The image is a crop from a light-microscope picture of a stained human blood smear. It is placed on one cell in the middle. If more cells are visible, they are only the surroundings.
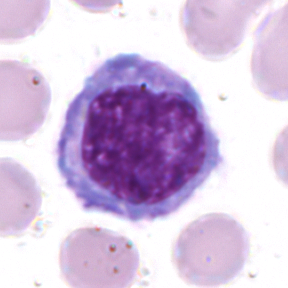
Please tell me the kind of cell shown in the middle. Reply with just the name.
plasma cell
